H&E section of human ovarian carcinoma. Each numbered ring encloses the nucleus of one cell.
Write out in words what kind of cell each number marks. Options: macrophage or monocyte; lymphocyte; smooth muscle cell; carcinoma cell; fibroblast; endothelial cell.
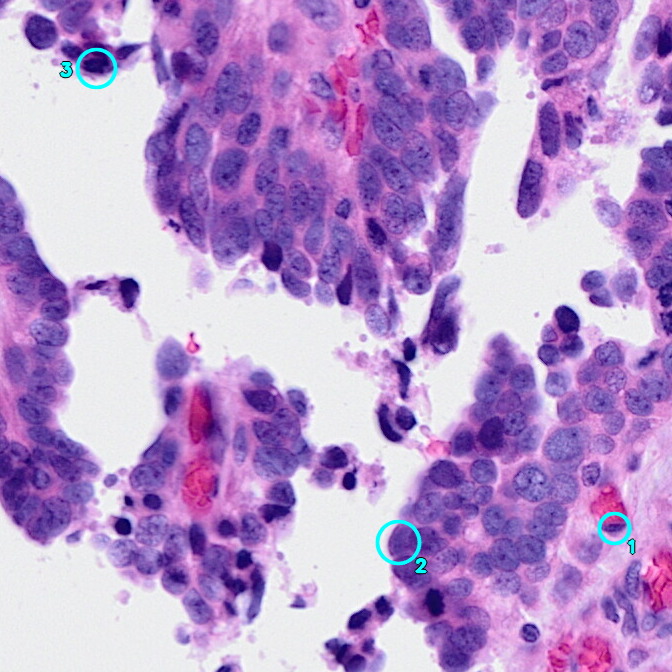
Cell 1 is an endothelial cell, cell 2 is a carcinoma cell and cell 3 is a carcinoma cell.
